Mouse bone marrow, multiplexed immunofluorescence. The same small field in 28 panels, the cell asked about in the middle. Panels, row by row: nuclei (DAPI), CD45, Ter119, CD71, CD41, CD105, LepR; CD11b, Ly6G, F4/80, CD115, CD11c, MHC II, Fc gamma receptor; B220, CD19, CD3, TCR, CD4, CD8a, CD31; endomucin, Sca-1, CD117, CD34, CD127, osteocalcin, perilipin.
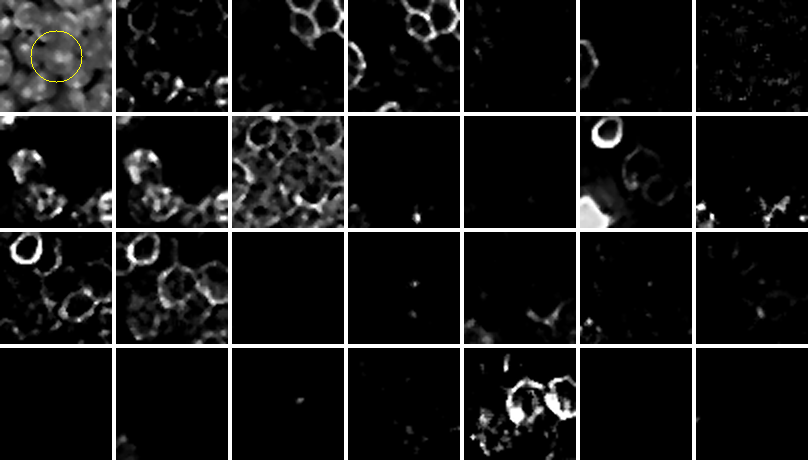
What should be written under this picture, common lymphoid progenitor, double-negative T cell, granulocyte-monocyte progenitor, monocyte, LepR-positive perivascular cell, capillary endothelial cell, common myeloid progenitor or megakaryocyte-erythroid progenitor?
common lymphoid progenitor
